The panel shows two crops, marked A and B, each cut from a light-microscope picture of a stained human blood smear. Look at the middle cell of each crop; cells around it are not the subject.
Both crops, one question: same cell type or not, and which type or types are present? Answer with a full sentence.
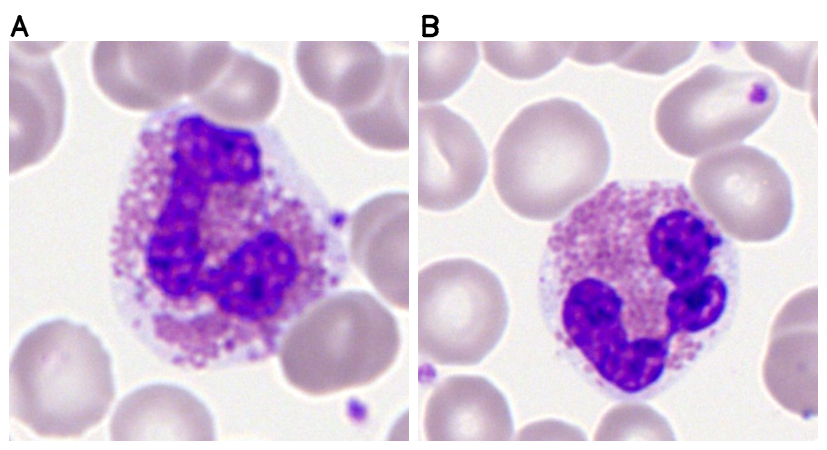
Yes, eosinophils lie at the centre of both crops.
